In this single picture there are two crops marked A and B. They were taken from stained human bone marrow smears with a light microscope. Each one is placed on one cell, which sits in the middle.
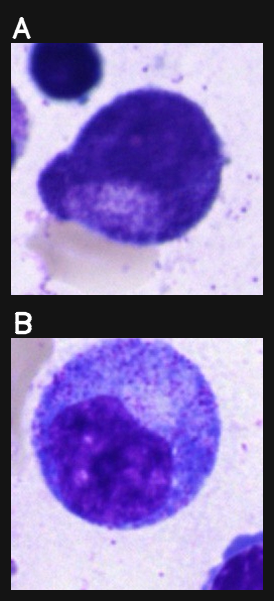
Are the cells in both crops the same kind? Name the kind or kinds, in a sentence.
Yes, the two crops share the same answer, promyelocytes.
